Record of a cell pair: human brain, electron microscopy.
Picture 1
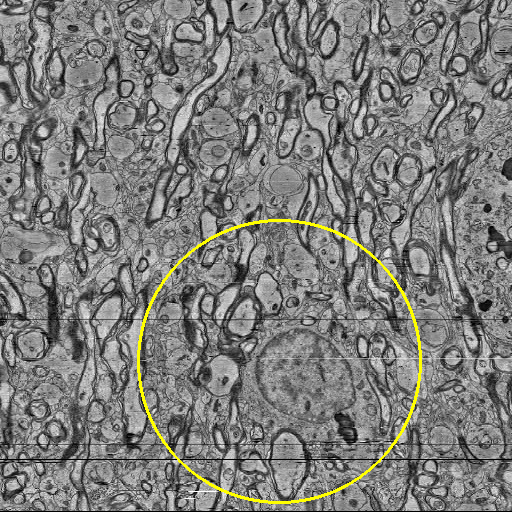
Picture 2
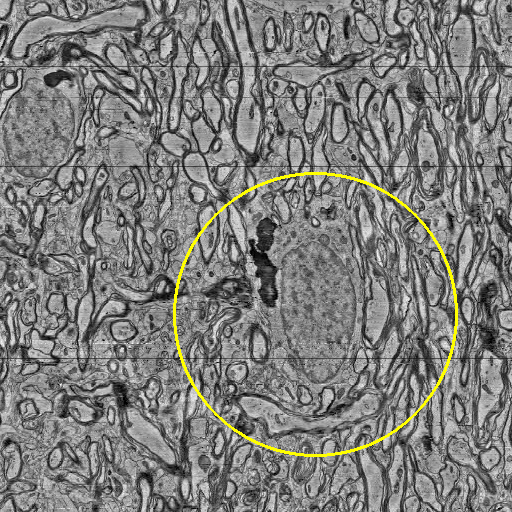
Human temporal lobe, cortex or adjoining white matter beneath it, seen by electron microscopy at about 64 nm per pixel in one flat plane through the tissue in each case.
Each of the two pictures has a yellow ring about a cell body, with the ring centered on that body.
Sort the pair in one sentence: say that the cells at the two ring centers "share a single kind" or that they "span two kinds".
The cells centered in the rings of Pictures 1 and 2 share a single kind.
